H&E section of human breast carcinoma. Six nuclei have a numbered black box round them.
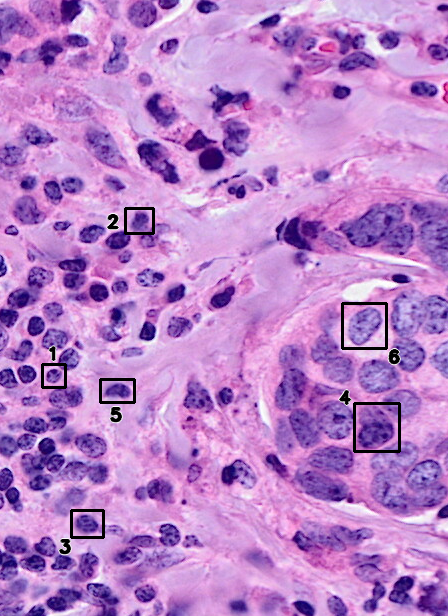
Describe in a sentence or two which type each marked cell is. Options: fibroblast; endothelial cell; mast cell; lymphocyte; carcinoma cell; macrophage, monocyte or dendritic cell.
Cells 1, 2, 3 and 5 are lymphocytes. Cells 4 and 6 are carcinoma cells.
